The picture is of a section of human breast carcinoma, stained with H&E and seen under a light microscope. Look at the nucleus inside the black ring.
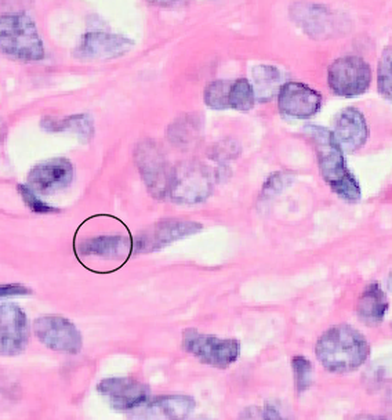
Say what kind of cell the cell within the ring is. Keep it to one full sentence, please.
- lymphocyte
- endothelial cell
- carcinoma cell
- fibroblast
Microscopically, the cell within the ring is categorized as an endothelial cell.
